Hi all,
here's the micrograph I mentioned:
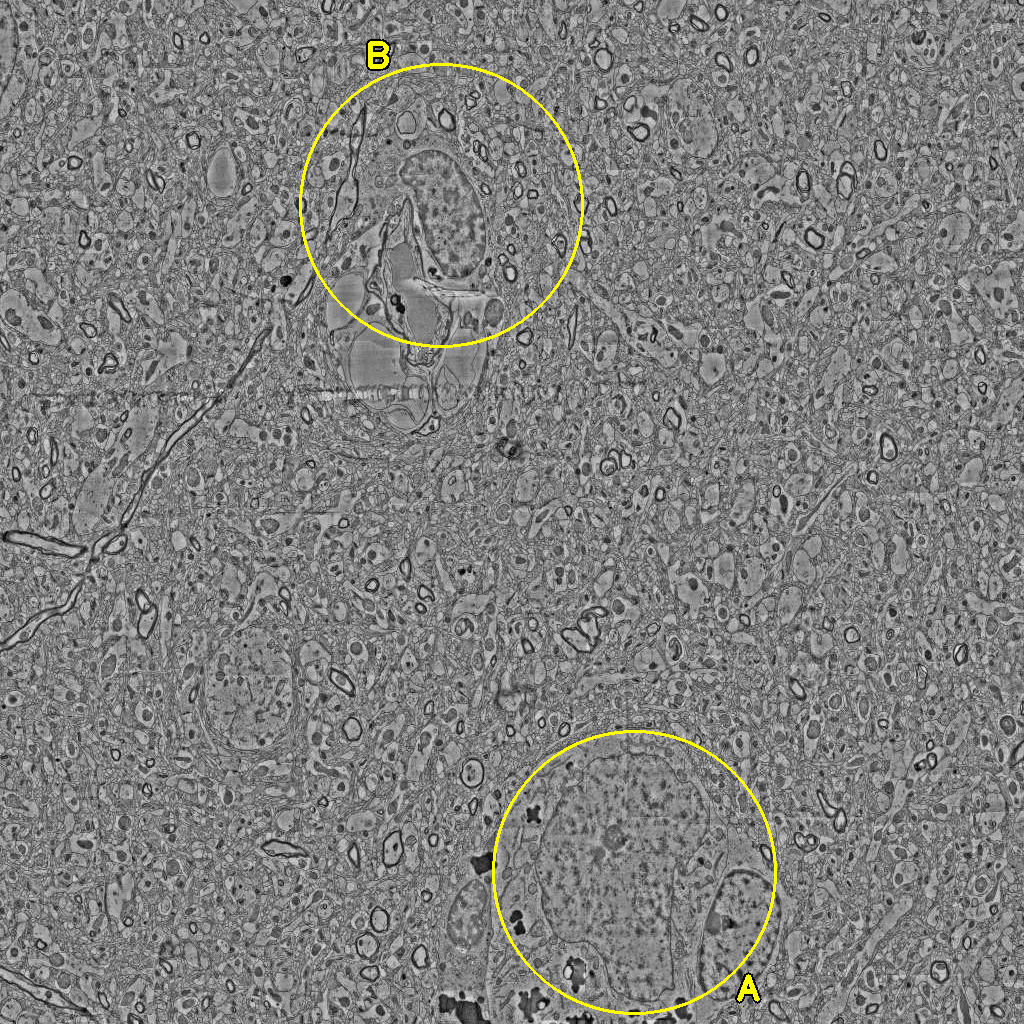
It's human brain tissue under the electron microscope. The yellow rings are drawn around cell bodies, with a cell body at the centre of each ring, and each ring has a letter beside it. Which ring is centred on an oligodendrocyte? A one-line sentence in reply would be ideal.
It's the one labelled B.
